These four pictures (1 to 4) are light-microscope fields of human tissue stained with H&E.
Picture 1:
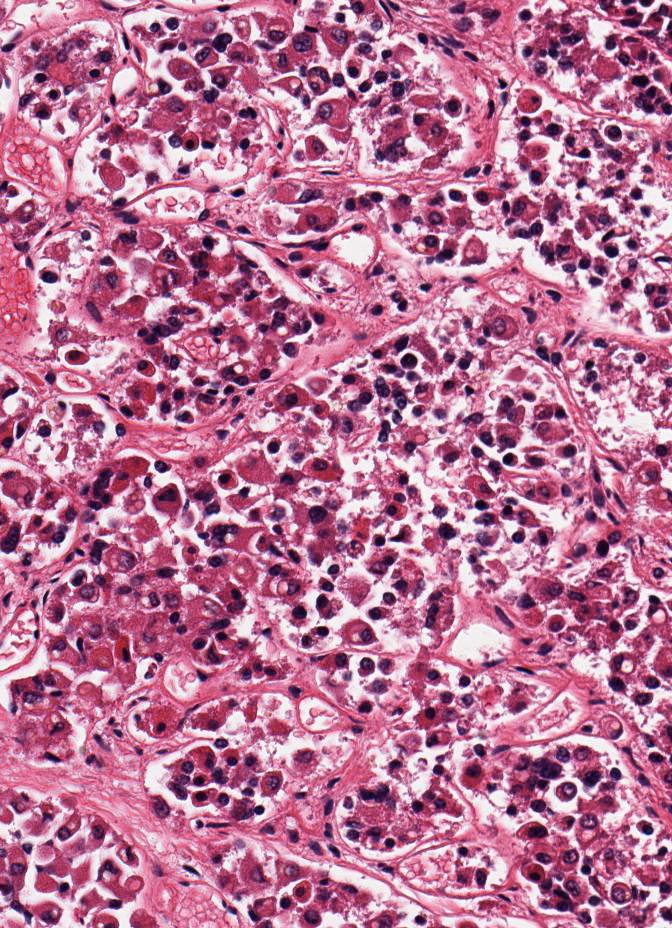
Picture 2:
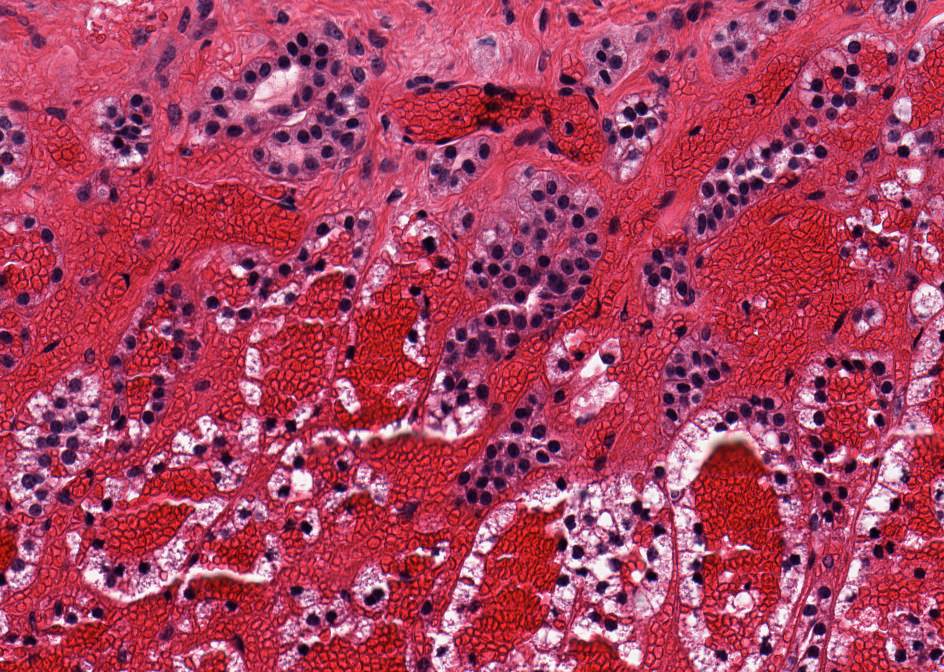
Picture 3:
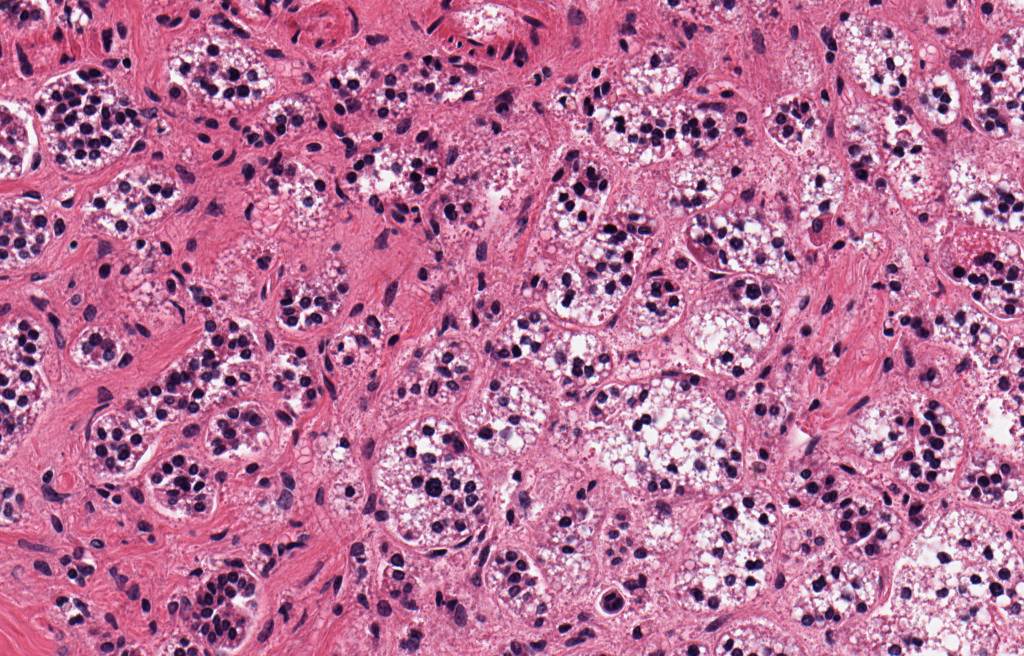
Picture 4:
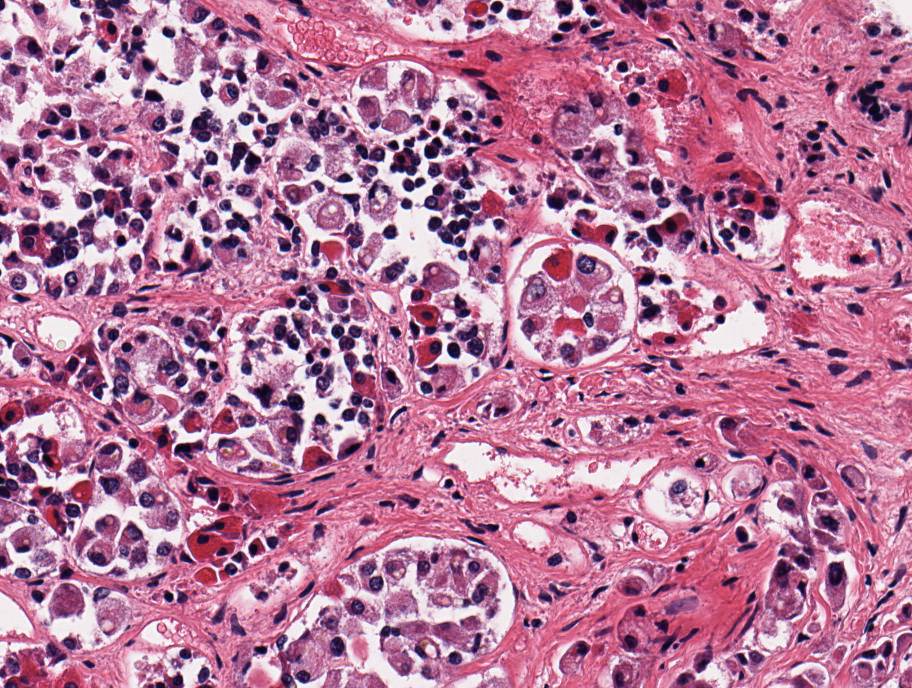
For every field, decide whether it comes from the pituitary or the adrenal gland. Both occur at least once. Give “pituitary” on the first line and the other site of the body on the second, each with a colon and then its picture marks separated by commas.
pituitary: 1, 4
adrenal gland: 2, 3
